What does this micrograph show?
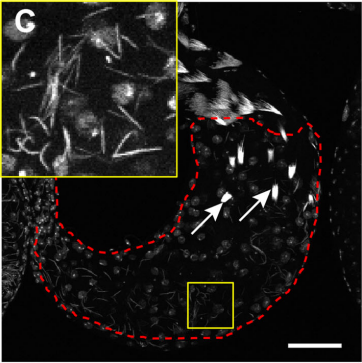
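The basal end of a testis shows many round nuclei of cells spread across the area outlined in red, with only a few bright, compact, elongated bundles of spermatid nuclei. Scattered among the round nuclei are numerous thin, needle-like individual spermatid heads, seen clearly in the enlarged inset, rather than being gathered into bundles.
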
